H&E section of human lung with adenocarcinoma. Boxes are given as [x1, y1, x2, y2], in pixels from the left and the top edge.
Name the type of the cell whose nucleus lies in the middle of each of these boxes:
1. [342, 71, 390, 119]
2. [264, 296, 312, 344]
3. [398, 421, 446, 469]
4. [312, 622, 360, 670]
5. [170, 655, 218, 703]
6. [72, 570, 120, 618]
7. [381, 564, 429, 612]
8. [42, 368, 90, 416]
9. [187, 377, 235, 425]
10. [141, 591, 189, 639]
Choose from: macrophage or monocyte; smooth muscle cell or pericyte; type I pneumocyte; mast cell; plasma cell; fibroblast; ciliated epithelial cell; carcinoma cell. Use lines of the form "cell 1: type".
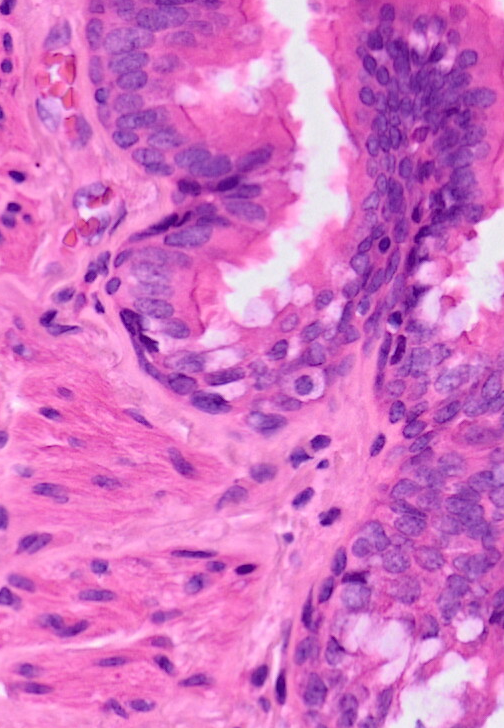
cell 1: ciliated epithelial cell
cell 2: ciliated epithelial cell
cell 3: ciliated epithelial cell
cell 4: ciliated epithelial cell
cell 5: smooth muscle cell or pericyte
cell 6: smooth muscle cell or pericyte
cell 7: ciliated epithelial cell
cell 8: smooth muscle cell or pericyte
cell 9: ciliated epithelial cell
cell 10: smooth muscle cell or pericyte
